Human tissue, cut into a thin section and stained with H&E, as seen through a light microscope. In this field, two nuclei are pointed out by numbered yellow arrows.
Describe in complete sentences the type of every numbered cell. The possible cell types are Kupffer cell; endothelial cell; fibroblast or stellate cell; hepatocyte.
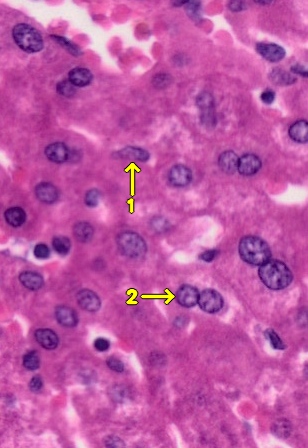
Cell 1 is a Kupffer cell. Cell 2 is a hepatocyte.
